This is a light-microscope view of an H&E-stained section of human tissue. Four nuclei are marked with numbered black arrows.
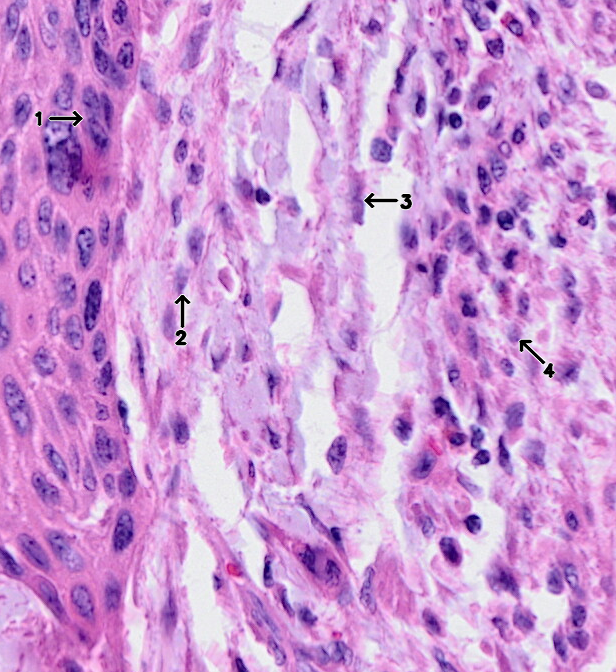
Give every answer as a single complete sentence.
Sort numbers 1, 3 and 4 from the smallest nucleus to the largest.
The order from the smallest nucleus to the largest is 4, 3, 1.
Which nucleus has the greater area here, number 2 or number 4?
Number 2 is larger; its area is about 2 times that of number 4.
